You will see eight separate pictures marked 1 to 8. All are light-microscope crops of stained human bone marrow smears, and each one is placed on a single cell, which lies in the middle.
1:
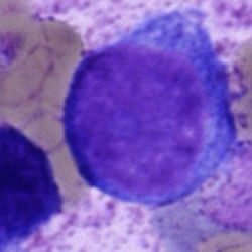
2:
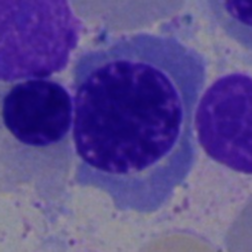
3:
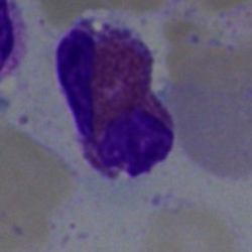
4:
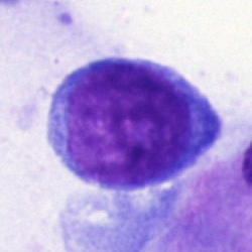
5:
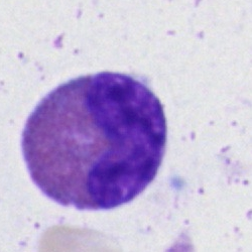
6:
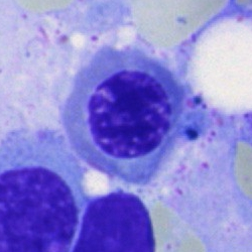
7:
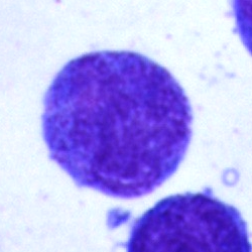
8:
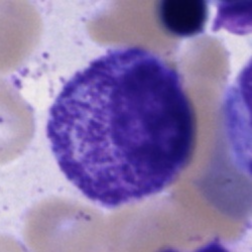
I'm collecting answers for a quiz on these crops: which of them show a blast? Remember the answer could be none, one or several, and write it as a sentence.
The cells centred in crops 1, 4 and 7 are blasts.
